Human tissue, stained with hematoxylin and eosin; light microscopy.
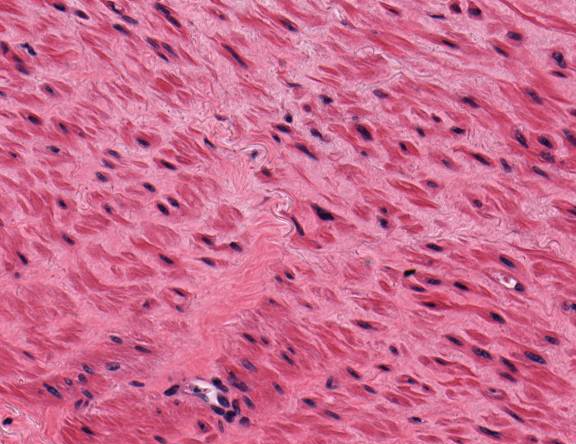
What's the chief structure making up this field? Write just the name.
tunica media of an artery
